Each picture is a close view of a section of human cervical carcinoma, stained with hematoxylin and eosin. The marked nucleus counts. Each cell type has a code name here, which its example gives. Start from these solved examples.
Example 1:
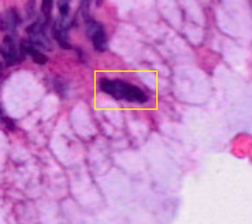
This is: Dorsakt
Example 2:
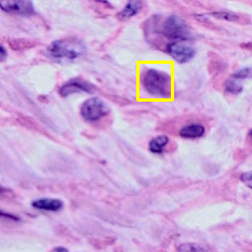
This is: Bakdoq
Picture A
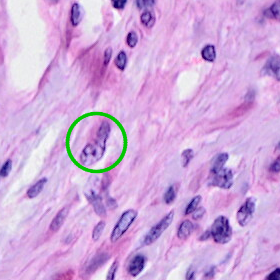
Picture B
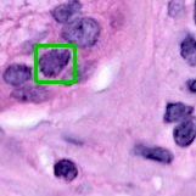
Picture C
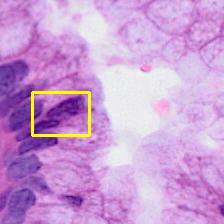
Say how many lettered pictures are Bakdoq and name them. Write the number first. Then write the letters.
Count: 1 (A)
